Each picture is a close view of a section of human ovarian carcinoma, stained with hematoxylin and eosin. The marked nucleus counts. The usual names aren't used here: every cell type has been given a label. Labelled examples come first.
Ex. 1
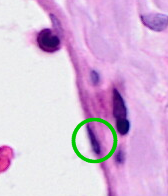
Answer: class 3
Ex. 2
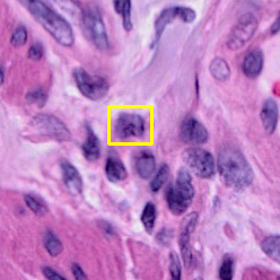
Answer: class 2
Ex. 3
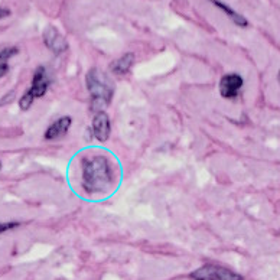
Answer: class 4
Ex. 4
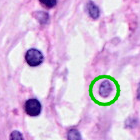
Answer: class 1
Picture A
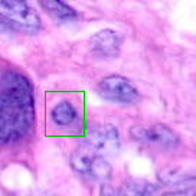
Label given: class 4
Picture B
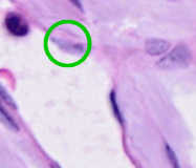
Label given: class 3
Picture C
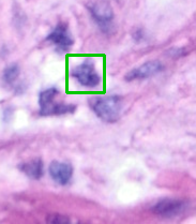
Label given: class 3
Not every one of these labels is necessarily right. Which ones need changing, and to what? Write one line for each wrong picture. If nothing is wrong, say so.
Wrong: A (class 4); correct: class 2
Wrong: C (class 3); correct: class 2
